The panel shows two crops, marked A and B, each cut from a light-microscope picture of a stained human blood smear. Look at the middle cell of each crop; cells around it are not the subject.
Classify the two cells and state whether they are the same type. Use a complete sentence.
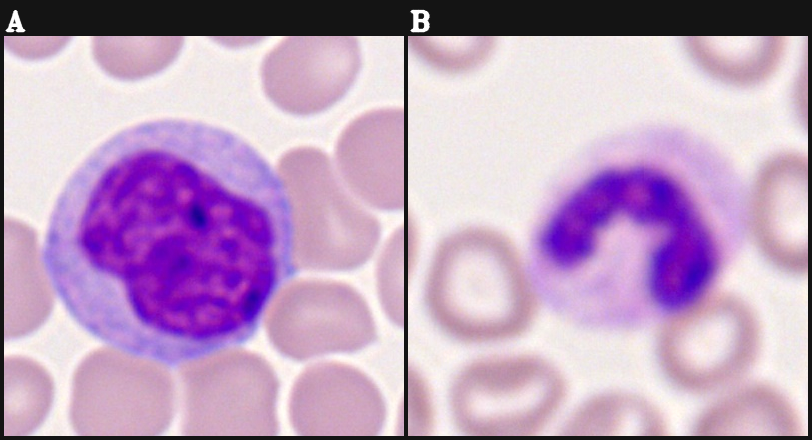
No, crop A features a monocyte, while crop B features a band neutrophil.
